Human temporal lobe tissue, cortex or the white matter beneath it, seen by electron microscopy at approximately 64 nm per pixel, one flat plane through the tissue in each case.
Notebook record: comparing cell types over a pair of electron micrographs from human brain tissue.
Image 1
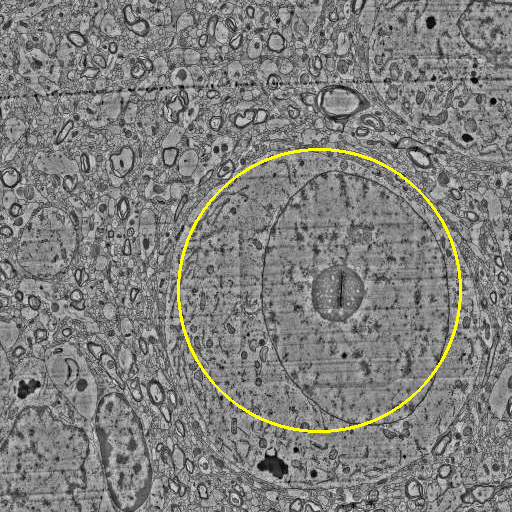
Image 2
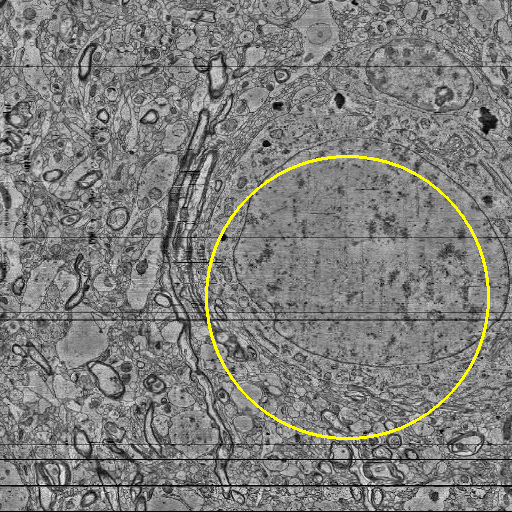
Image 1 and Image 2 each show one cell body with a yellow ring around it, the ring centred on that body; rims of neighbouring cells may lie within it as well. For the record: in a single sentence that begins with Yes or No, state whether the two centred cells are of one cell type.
Yes, one cell type is shared by the centred cells of Image 1 and Image 2.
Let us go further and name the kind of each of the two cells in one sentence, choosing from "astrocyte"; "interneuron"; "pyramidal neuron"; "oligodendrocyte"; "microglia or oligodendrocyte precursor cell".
Each one of the two ringed cells is a pyramidal neuron.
